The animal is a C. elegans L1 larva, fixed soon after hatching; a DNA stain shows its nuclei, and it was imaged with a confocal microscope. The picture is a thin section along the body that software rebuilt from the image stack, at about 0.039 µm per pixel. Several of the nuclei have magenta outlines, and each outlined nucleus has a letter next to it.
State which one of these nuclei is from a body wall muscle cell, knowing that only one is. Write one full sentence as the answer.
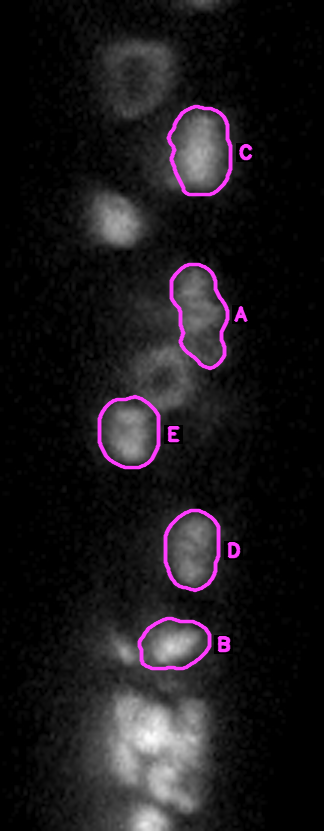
Of the marked nuclei, E is the one in a body wall muscle cell.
